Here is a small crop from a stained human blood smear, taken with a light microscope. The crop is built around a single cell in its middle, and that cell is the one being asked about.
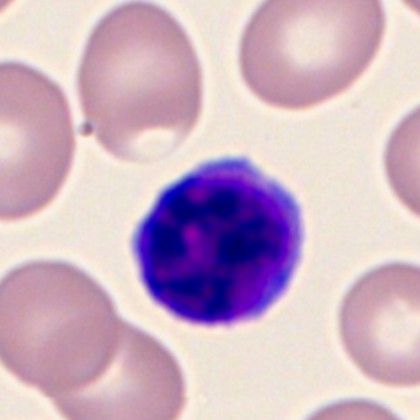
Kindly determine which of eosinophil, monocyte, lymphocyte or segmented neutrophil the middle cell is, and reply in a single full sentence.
The cell at the central position in this crop is a lymphocyte.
